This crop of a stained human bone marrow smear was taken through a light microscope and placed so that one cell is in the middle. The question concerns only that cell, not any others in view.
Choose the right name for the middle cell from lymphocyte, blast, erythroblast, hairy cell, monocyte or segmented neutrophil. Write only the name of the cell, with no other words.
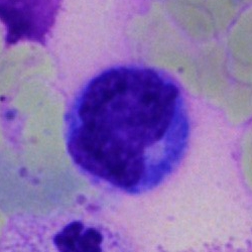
monocyte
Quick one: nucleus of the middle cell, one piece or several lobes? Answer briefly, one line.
In this cell the nucleus is a solitary compact mass, round, oval or kidney-shaped.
